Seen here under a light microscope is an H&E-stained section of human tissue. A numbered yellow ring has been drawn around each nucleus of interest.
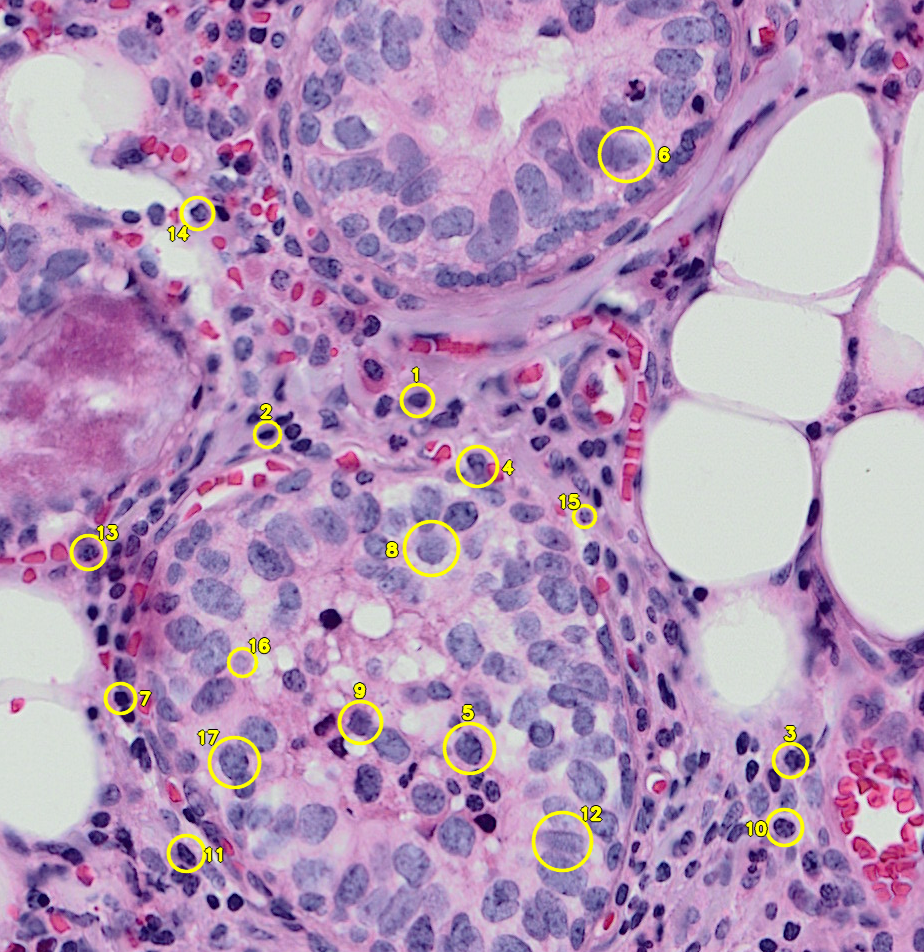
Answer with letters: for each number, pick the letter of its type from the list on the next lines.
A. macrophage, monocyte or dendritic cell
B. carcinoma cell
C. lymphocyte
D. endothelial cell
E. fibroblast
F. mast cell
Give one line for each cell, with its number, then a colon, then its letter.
1: C
2: C
3: C
4: D
5: B
6: B
7: C
8: B
9: B
10: C
11: C
12: B
13: F
14: C
15: F
16: B
17: B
